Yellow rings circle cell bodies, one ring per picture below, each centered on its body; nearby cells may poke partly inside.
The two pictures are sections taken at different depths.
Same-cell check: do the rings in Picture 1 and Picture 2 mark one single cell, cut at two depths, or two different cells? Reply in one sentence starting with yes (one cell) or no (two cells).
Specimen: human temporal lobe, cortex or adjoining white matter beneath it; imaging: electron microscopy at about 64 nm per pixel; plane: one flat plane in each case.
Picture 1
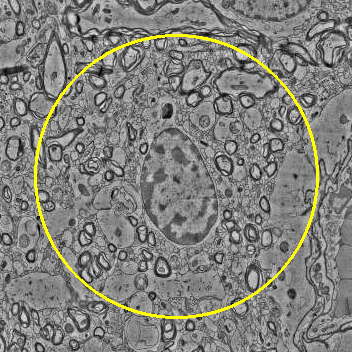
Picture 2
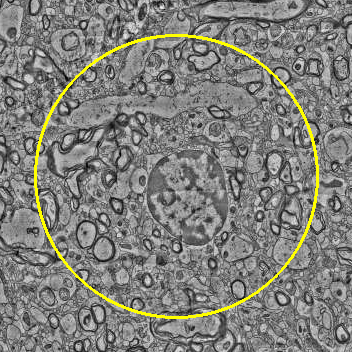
No, the two marked cells are different cells.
